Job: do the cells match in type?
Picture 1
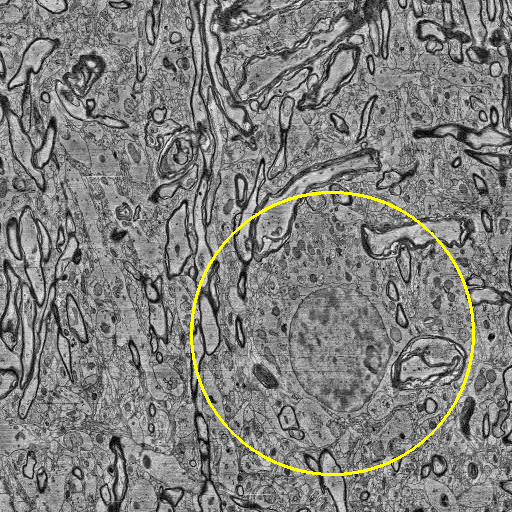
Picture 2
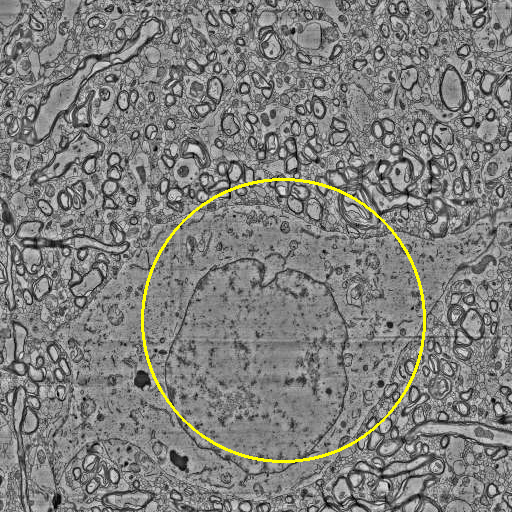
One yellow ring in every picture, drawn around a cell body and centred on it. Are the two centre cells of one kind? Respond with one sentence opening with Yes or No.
No, the ringed cells in the two pictures are of two separate kinds.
